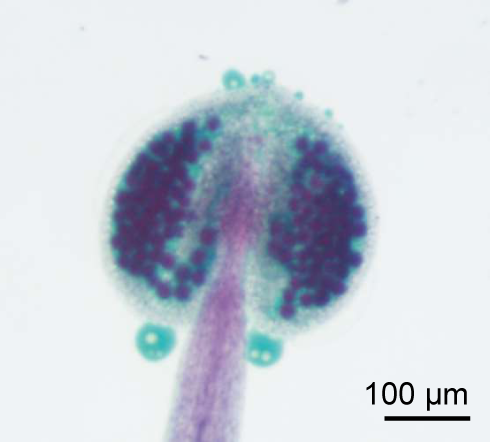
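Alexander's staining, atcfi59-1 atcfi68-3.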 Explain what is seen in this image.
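A small rounded anther on a purple-stained filament, its lobes holding fewer round pollen grains stained dark purple. A few larger round bodies stained blue-green lie at the surface and near the base of the anther.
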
